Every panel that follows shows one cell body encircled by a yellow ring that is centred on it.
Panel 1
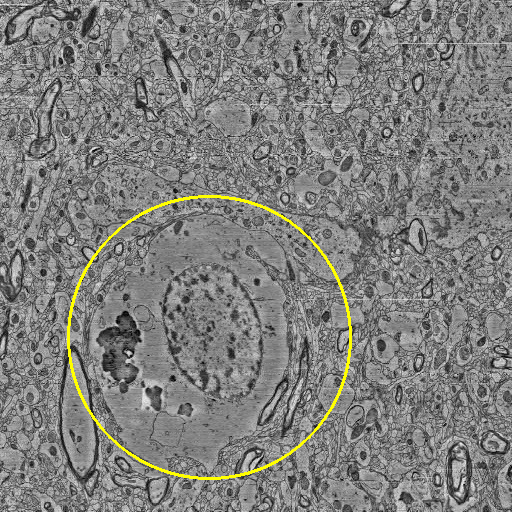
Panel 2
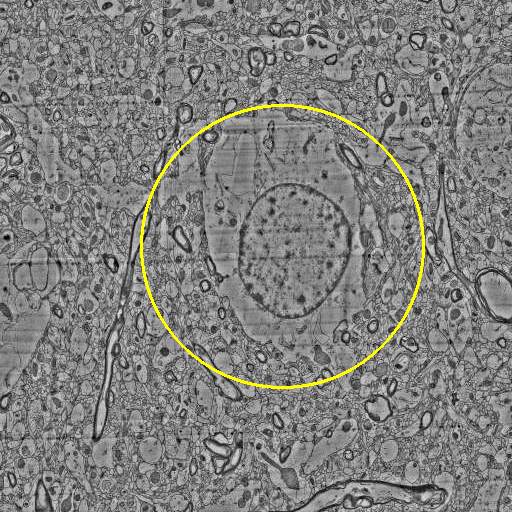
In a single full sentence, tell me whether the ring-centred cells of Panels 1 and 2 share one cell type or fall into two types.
In Panel 1 and Panel 2, the cells at the ring centres share one cell type.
